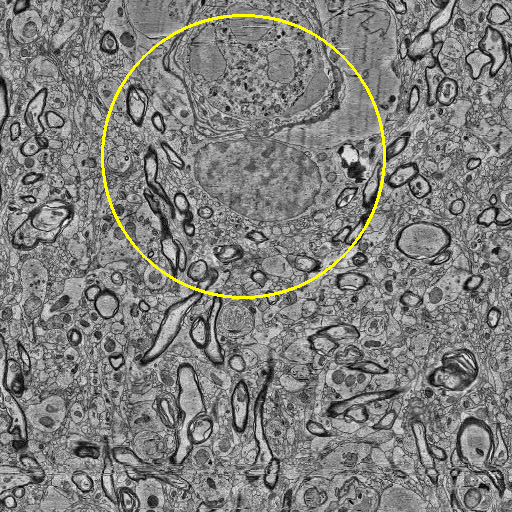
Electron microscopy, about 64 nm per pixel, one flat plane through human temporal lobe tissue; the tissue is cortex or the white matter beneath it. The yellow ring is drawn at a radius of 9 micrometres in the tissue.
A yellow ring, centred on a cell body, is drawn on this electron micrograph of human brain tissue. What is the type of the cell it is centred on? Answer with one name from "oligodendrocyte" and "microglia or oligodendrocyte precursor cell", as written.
oligodendrocyte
